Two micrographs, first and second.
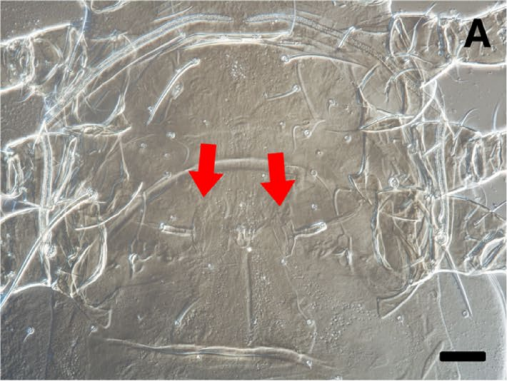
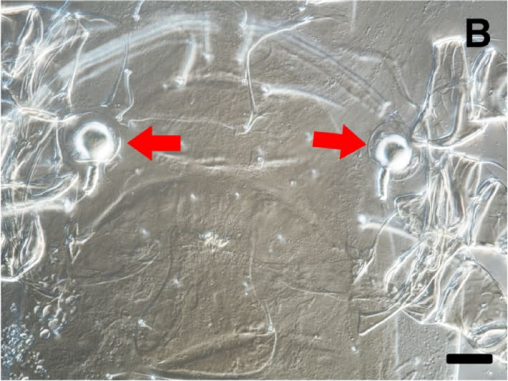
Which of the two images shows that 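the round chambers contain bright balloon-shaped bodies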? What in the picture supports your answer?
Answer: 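Second image: each of the two chambers under the arrows holds a bright refractile round body. First image: the structures under the arrows show no bright round bodies.
Answer: the second image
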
